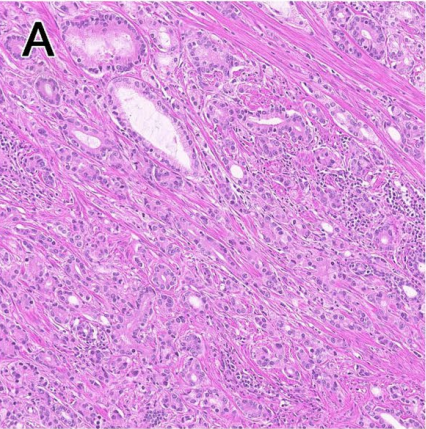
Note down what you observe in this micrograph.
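This is a prostate adenocarcinoma in which many small glands crowd together and infiltrate a pink, fibrous stroma. The glands vary in size; some are tiny and round, others larger with pale bluish secretion in their lumina. Each is lined by a single layer of cells with pink cytoplasm and round, dark purple nuclei, and no distinct outer layer of flattened cells is apparent. Between the glands run bands of pink collagen, and in places small clusters of dark, round nuclei sit in the stroma, suggesting inflammatory cells. The orderly lobular pattern of normal prostate is lost.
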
